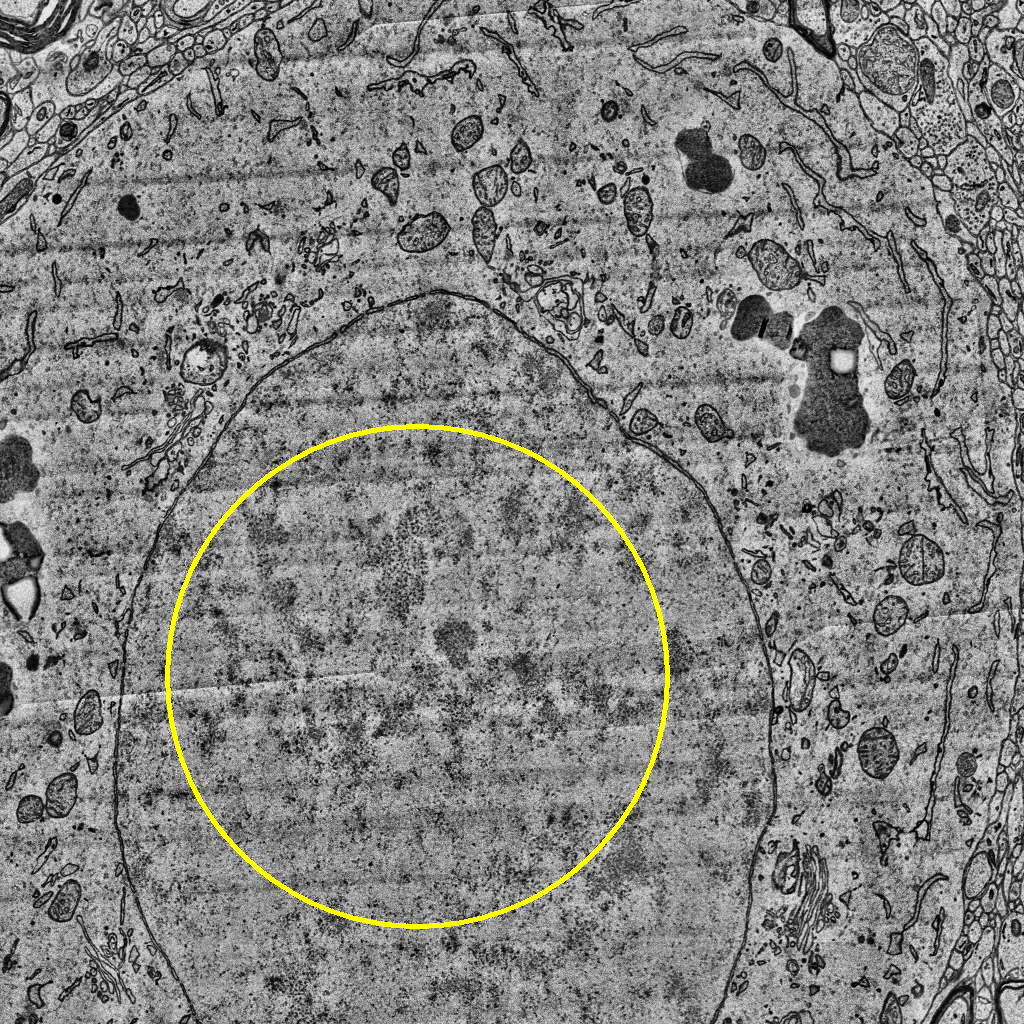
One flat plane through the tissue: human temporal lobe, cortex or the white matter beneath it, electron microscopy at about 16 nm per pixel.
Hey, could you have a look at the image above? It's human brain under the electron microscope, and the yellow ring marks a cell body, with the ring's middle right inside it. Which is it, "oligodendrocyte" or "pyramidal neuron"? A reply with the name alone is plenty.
pyramidal neuron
